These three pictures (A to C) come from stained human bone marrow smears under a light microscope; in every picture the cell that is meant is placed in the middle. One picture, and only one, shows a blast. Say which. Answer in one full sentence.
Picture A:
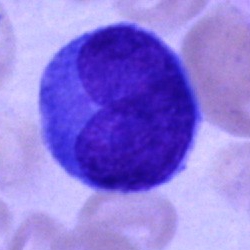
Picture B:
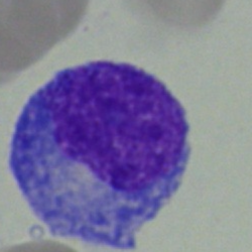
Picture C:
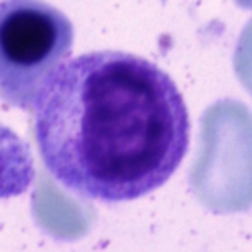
The cell in picture A is the blast.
